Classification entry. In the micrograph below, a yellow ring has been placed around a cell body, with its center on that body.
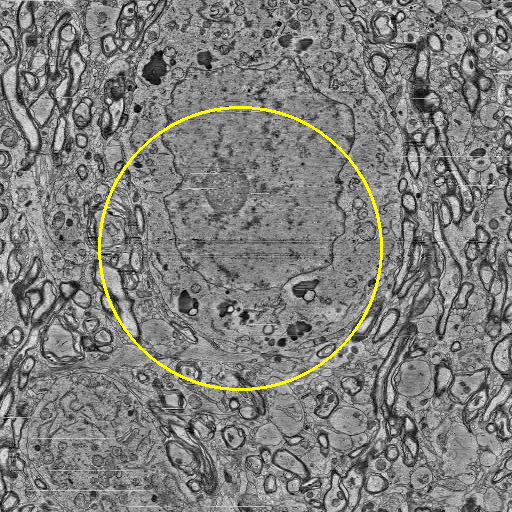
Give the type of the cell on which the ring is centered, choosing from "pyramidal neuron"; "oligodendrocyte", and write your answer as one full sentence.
The cell body at the center of the yellow ring belongs to a pyramidal neuron.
